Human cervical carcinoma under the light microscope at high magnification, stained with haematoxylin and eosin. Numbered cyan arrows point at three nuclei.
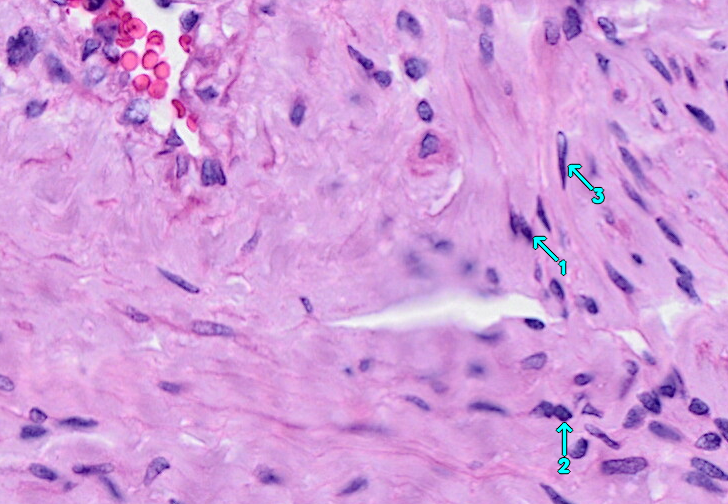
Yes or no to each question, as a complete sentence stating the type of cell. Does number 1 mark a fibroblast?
Yes, the cell at number 1 is a fibroblast.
